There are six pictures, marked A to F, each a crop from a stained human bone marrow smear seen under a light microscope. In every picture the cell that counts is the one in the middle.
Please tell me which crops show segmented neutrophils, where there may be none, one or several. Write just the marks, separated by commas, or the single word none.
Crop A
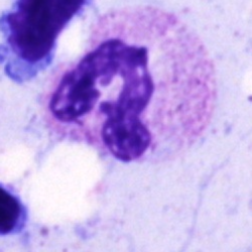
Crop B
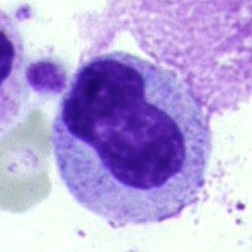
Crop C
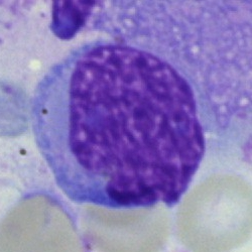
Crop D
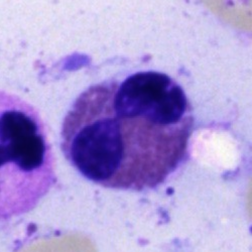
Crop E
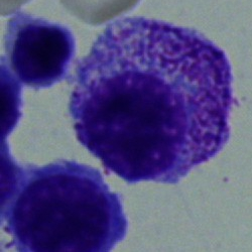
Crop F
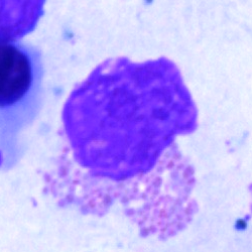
A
